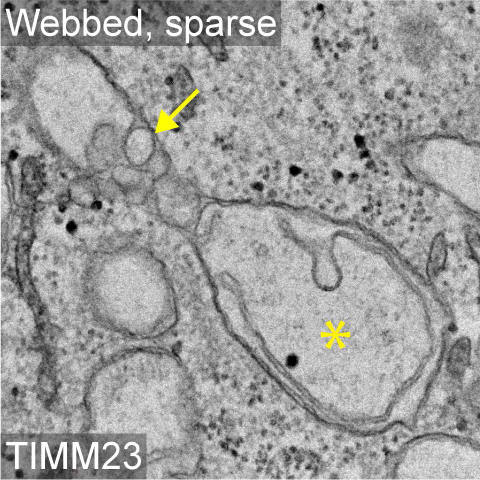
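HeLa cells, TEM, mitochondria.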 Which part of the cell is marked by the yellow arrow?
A: cristae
